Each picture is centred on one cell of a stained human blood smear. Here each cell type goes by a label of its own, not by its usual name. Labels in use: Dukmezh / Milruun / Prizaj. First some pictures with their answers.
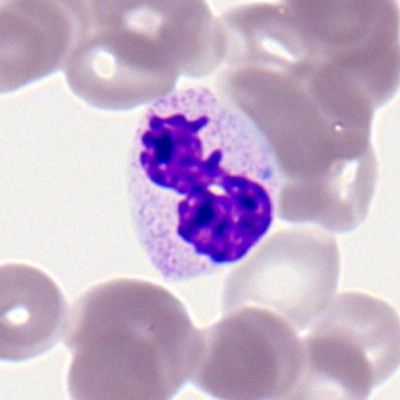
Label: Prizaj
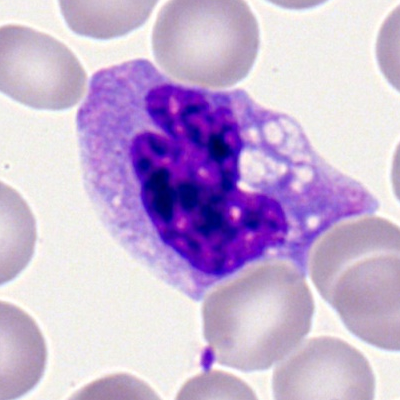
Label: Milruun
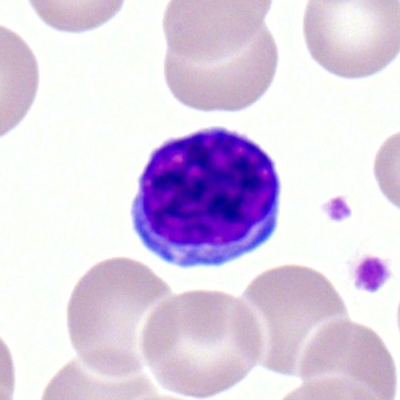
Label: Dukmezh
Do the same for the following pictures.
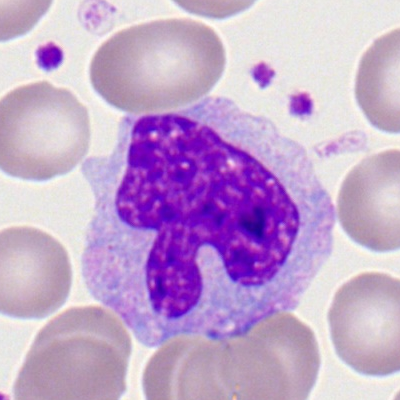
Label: Milruun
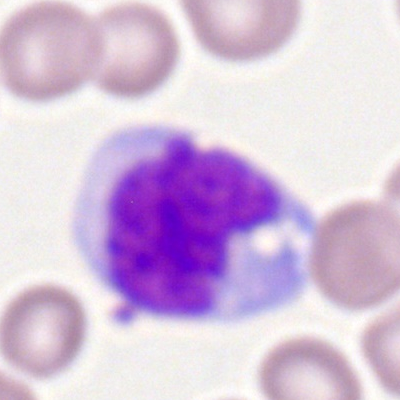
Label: Milruun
